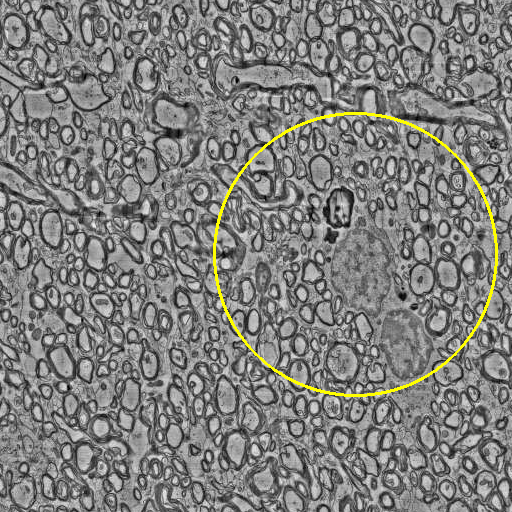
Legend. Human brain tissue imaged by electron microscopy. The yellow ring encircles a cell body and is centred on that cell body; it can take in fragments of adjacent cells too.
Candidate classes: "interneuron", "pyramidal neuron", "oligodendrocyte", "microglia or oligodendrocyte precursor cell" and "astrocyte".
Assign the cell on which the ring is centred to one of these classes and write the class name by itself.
oligodendrocyte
